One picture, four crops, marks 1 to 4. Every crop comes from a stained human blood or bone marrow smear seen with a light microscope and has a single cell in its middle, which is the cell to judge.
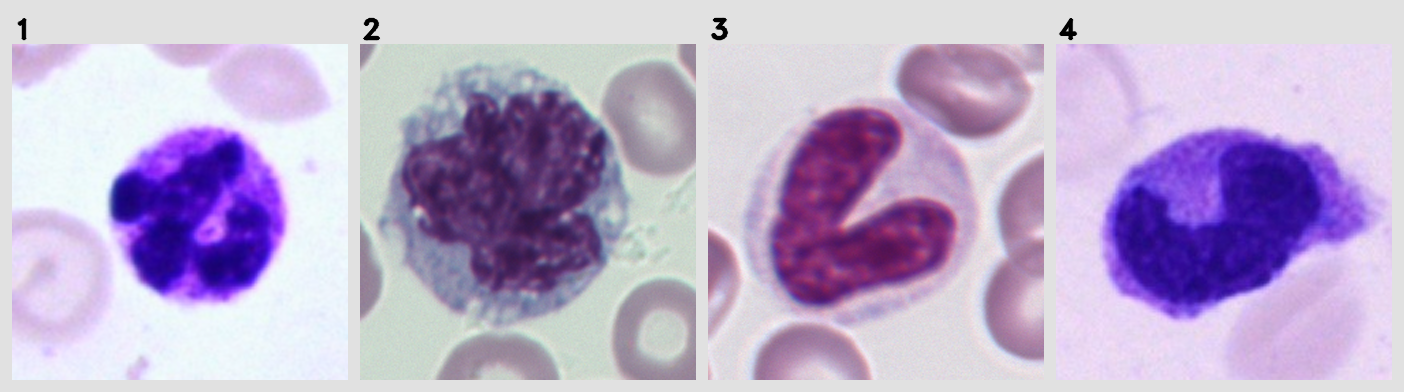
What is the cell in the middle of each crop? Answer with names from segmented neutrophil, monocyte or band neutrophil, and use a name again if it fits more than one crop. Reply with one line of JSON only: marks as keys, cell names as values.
{"1": "segmented neutrophil", "2": "monocyte", "3": "band neutrophil", "4": "band neutrophil"}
